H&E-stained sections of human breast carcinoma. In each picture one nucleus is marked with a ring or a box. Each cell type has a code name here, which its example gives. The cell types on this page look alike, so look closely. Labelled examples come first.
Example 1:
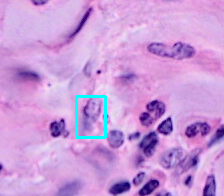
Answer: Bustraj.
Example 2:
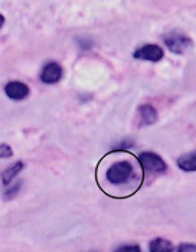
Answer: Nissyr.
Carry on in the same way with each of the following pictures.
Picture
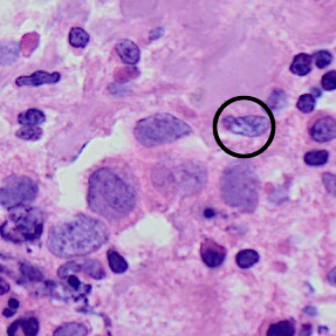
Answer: Bustraj.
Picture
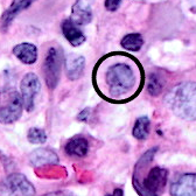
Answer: Bustraj.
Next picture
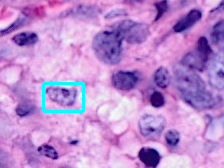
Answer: Bustraj.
